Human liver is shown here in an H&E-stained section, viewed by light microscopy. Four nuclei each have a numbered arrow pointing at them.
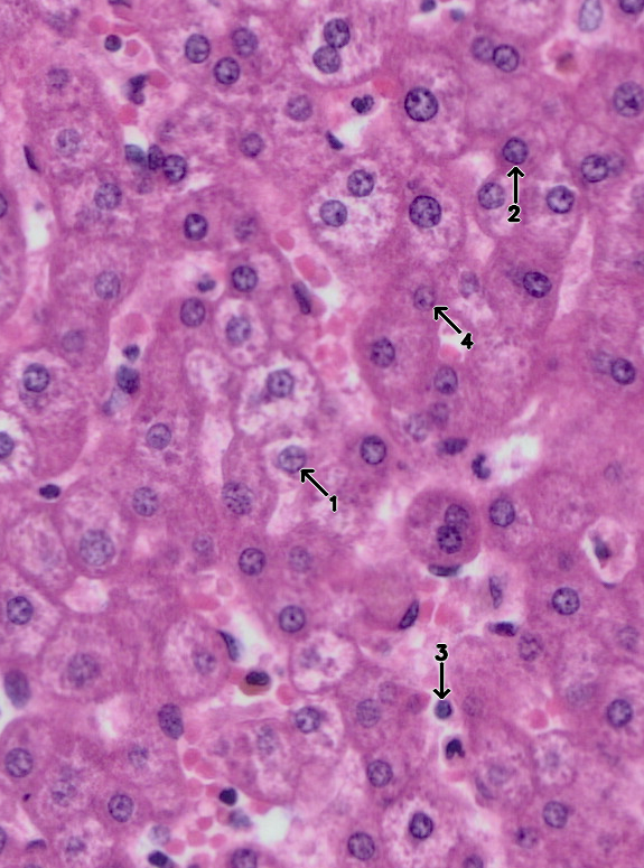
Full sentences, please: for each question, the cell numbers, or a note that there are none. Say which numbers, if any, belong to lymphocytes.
Among the numbered nuclei, only the one labelled 3 belongs to a lymphocyte.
